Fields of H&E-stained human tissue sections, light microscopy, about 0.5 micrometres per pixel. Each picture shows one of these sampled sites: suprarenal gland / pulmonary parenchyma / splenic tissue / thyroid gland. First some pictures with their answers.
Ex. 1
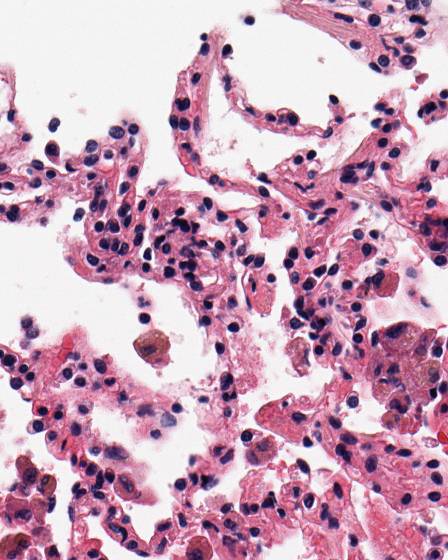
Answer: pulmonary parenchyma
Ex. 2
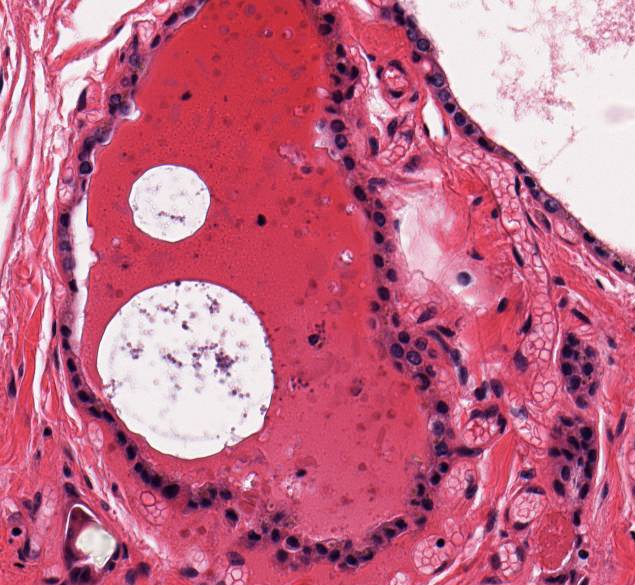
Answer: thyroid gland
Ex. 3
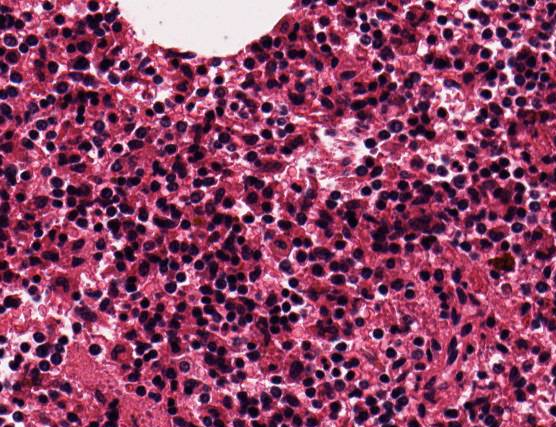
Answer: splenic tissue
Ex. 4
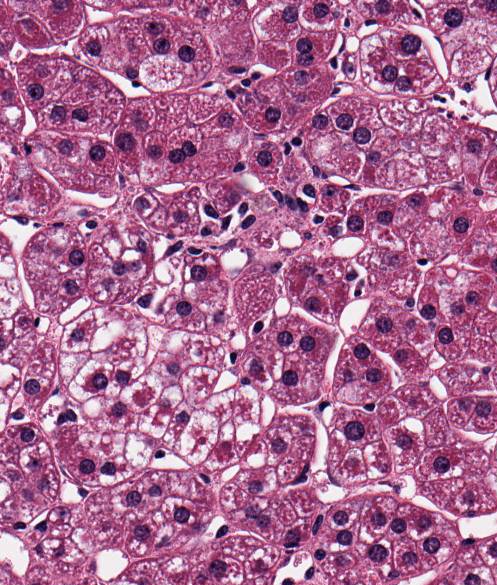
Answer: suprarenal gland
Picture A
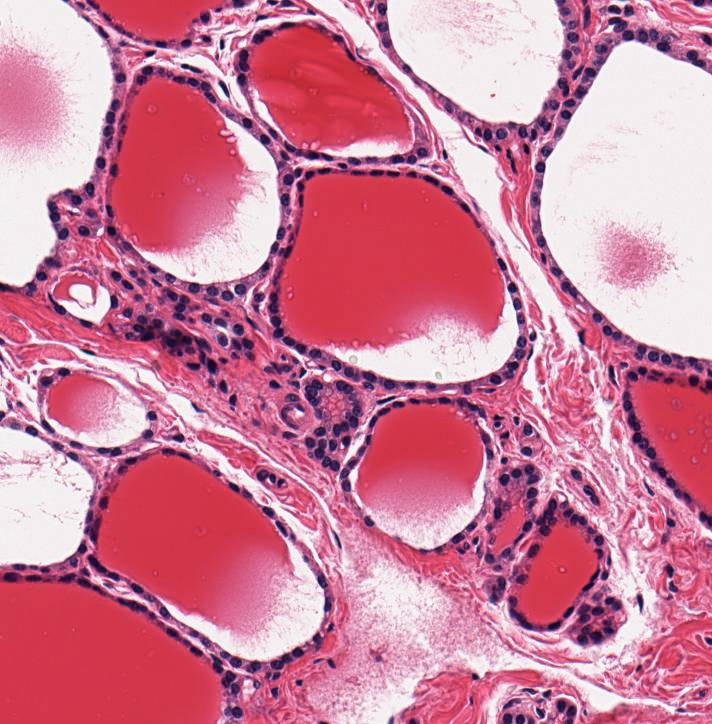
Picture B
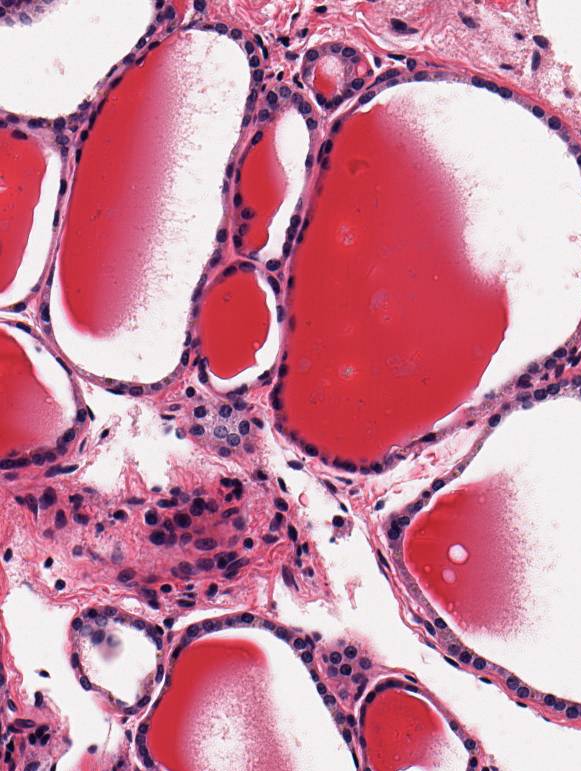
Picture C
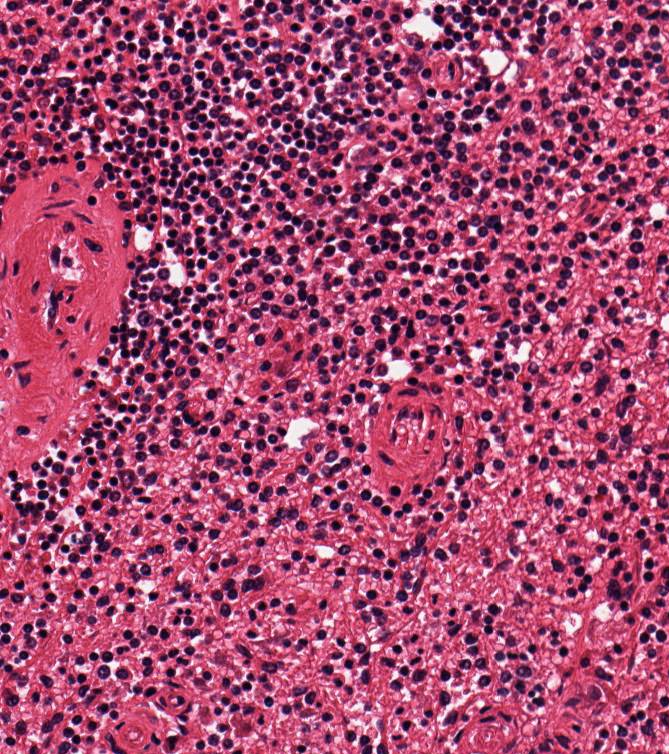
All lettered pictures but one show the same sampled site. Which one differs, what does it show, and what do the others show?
C (splenic tissue) is the exception; every other picture is thyroid gland.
